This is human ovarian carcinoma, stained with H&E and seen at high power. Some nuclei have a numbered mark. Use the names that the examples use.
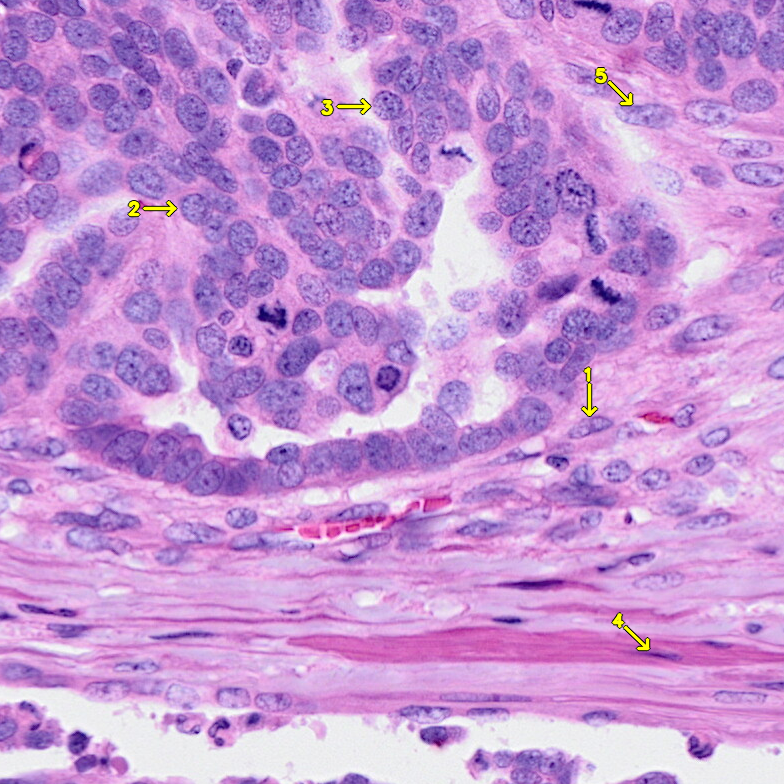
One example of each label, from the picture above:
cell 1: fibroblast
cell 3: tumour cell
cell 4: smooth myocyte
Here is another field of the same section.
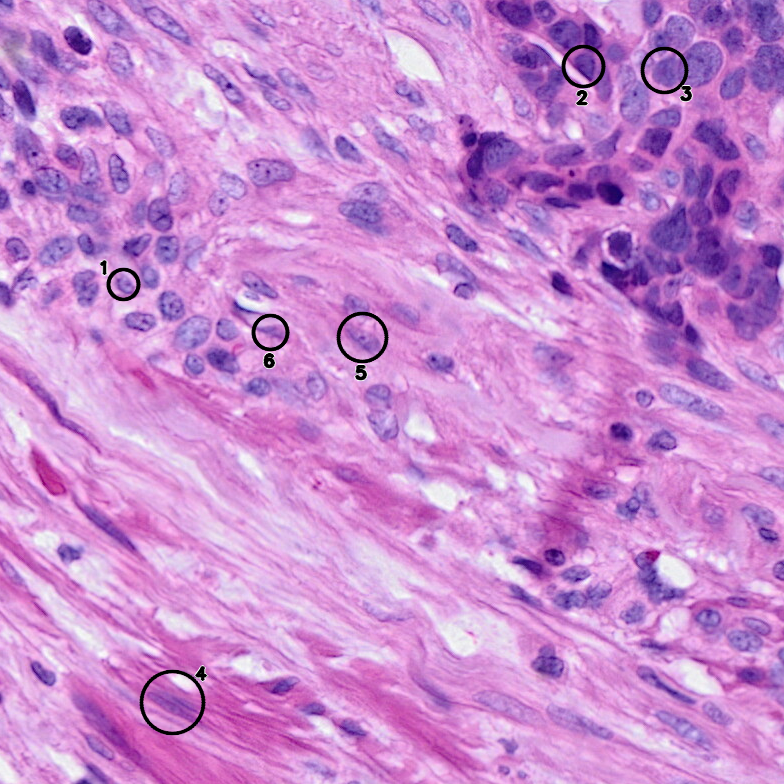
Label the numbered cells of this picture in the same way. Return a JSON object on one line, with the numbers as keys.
{"1": "fibroblast", "2": "tumour cell", "3": "tumour cell", "4": "smooth myocyte", "5": "fibroblast", "6": "fibroblast"}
